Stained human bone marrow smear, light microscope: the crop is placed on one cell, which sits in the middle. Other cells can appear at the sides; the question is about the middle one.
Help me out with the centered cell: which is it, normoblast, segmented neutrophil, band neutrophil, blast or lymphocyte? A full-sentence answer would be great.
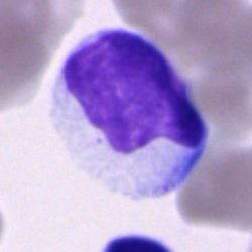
Here the centrally located cell is a blast.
